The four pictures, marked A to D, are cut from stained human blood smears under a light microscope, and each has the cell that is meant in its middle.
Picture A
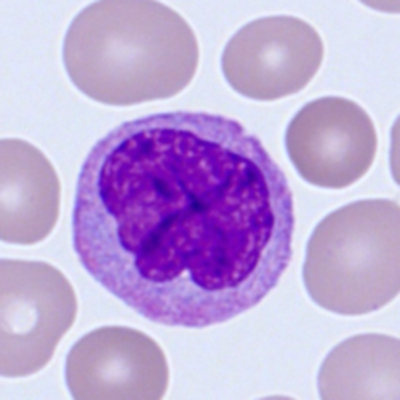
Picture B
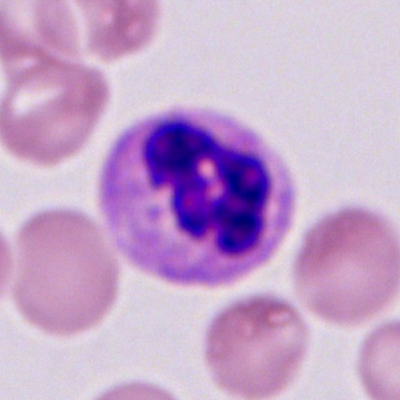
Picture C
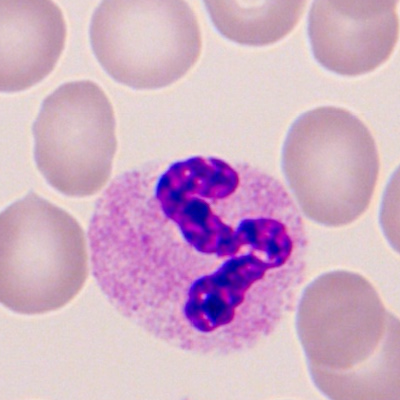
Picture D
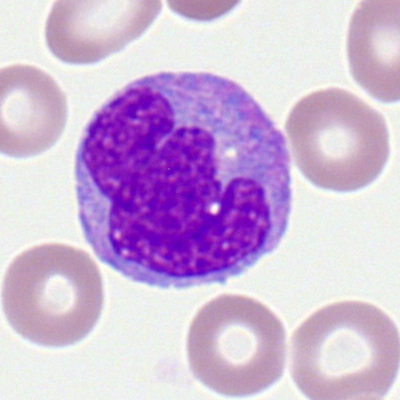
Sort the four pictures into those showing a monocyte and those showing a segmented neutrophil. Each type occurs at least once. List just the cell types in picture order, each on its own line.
monocyte
segmented neutrophil
segmented neutrophil
monocyte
